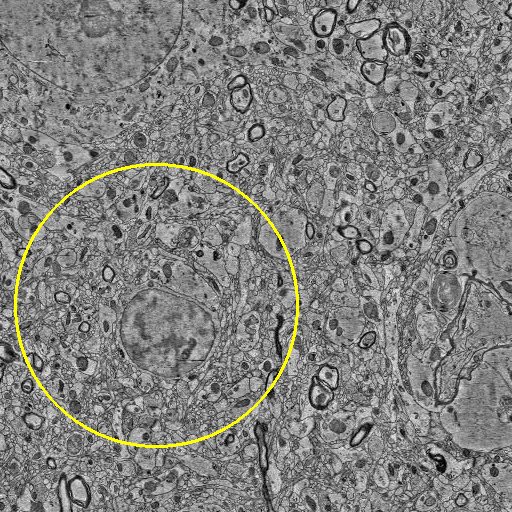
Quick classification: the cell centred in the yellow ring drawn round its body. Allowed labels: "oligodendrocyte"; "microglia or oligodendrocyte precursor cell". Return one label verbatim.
oligodendrocyte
